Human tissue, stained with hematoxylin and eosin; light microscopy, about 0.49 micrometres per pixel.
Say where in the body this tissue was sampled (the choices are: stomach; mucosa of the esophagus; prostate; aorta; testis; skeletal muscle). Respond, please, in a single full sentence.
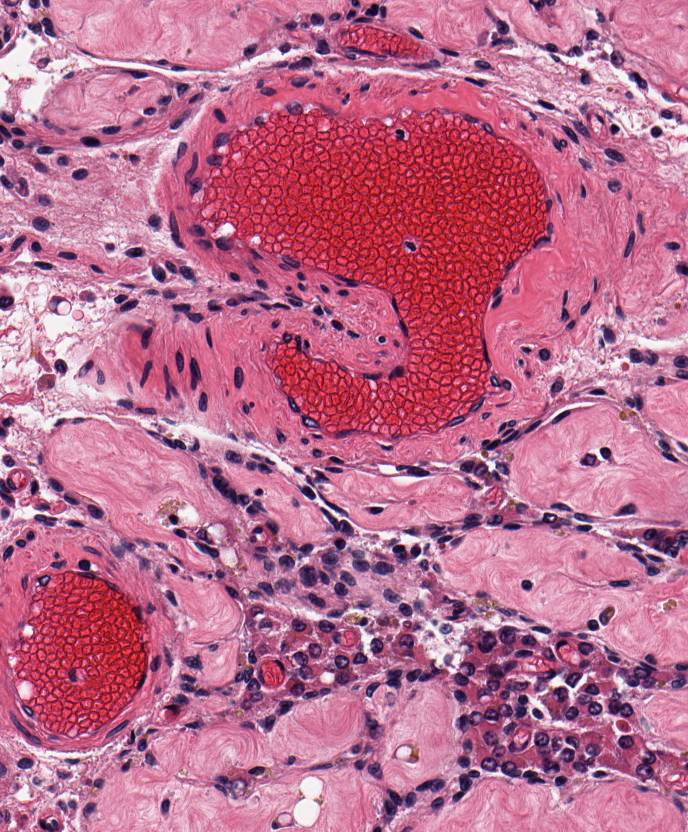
For this section, tissue was sampled from the testis.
